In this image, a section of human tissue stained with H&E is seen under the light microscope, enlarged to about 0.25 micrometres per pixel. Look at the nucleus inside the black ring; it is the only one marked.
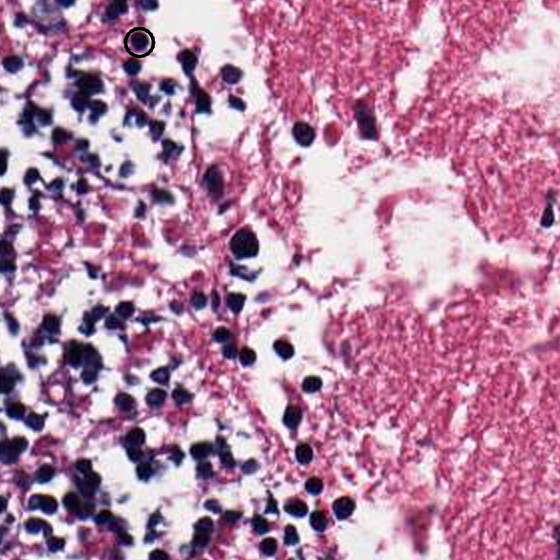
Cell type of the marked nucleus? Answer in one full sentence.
The marked nucleus is seen to belong to a cerebellar granule cell.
